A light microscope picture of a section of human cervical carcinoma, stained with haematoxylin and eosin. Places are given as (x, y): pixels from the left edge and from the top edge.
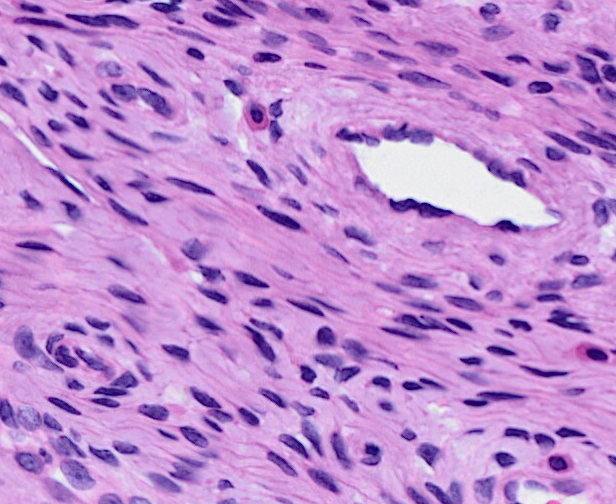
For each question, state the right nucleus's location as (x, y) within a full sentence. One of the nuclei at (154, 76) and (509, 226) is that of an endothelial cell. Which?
Heads up, the nucleus at (509, 226) is the one that belongs to an endothelial cell.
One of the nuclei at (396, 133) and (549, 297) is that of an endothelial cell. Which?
Among the two nuclei, the one found at (396, 133) belongs to an endothelial cell.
